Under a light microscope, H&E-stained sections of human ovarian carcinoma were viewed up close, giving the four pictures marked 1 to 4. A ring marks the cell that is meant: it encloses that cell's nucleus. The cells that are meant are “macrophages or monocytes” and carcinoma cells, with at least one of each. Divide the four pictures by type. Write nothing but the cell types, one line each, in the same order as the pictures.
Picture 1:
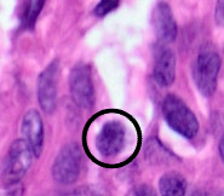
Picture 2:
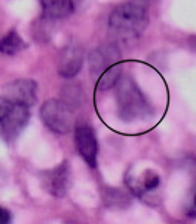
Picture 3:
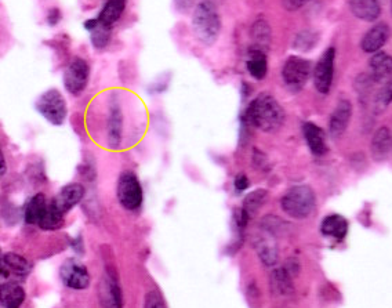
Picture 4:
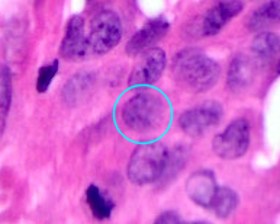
macrophage or monocyte
carcinoma cell
macrophage or monocyte
carcinoma cell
